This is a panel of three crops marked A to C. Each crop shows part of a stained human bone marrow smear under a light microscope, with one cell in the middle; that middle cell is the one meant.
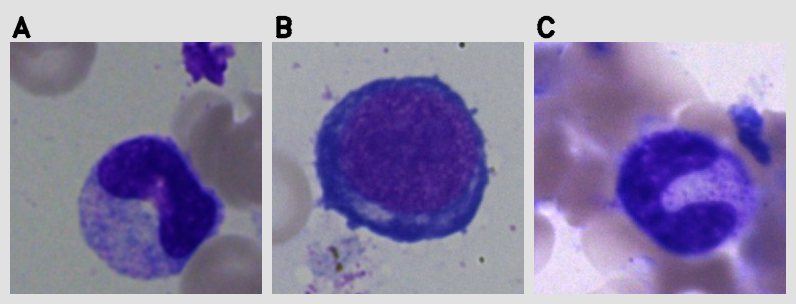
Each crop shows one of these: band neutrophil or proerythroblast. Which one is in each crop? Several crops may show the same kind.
A: band neutrophil
B: proerythroblast
C: band neutrophil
